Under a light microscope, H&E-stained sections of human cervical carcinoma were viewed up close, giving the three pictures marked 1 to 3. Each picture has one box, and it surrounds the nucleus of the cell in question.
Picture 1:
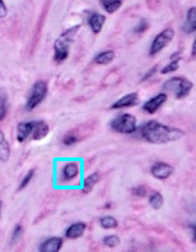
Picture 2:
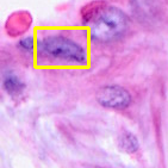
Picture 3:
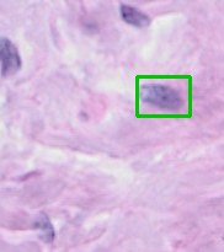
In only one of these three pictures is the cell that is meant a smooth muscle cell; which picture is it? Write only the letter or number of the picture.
1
